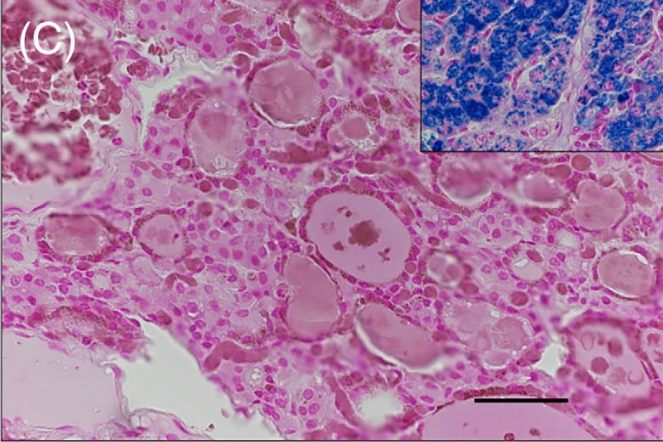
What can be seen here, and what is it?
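This is thyroid tissue with many round follicles of varying size, lined by cuboidal epithelial cells with small round pink-red nuclei. The follicles contain pale pink colloid, and some contain darker brownish-red clumps. None of these clumps or the lining cells take up a blue colour; the section is pink throughout. The inset, by contrast, shows tissue with abundant bright blue granular deposits.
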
